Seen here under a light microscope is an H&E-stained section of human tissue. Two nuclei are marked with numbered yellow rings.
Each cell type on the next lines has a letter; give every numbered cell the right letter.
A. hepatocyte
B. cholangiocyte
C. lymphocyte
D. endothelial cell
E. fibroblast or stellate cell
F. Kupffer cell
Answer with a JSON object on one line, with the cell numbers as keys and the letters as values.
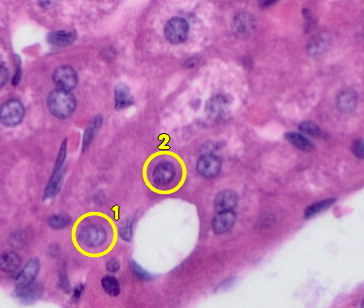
{"1": "B", "2": "A"}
